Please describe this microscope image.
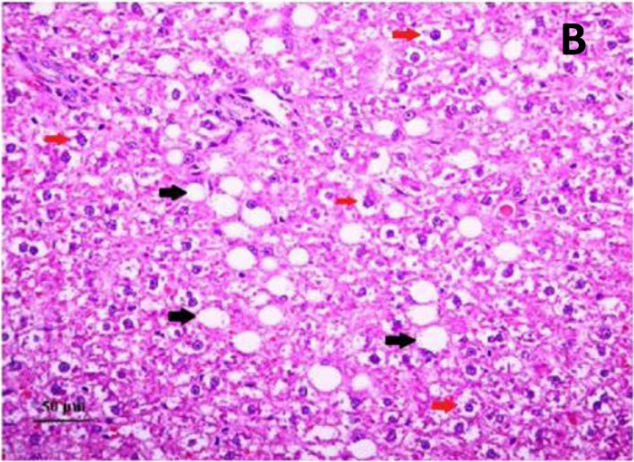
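Liver tissue in which hepatocytes are widely altered. There are numerous round, sharply bounded clear vacuoles of many sizes, some larger than a whole nucleus, lying within hepatocytes and clustered toward the centre of the field. Many hepatocytes are swollen, with pale, rarefied, finely wispy cytoplasm around a dark purple nucleus. The regular cords and sinusoids seen in normal liver are largely obscured, and the tissue looks disordered and patchy. A few scattered red blood cells are visible.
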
